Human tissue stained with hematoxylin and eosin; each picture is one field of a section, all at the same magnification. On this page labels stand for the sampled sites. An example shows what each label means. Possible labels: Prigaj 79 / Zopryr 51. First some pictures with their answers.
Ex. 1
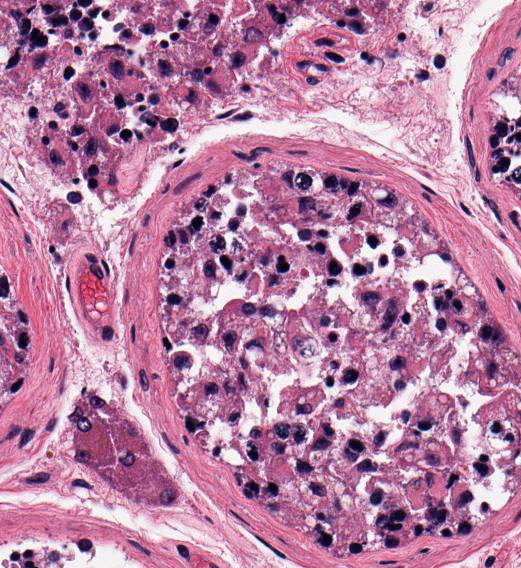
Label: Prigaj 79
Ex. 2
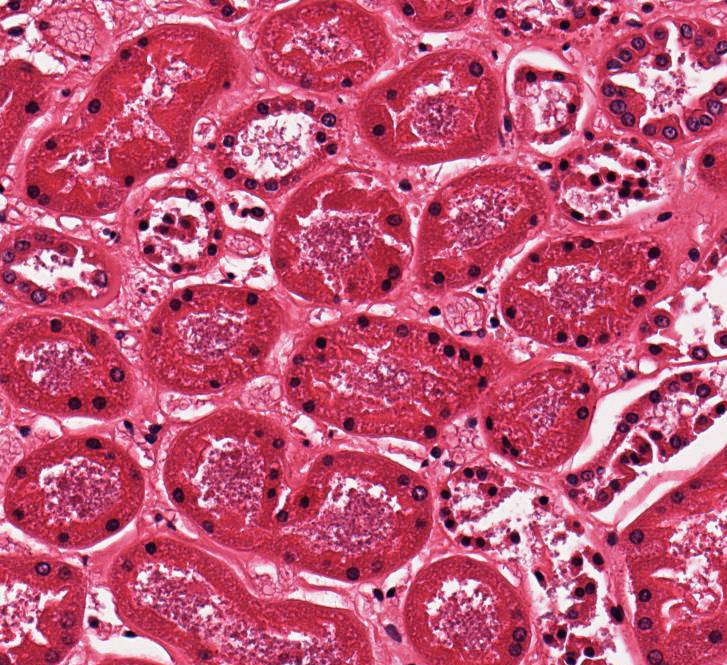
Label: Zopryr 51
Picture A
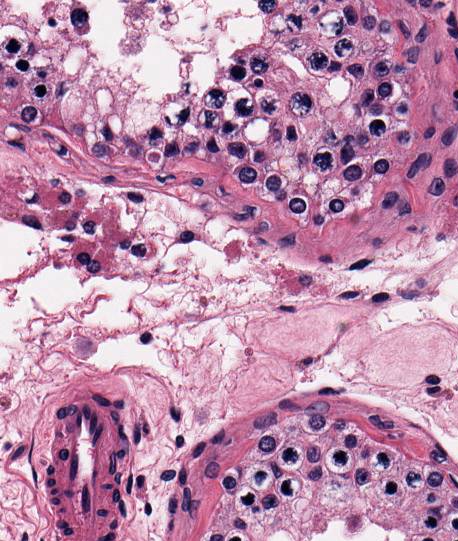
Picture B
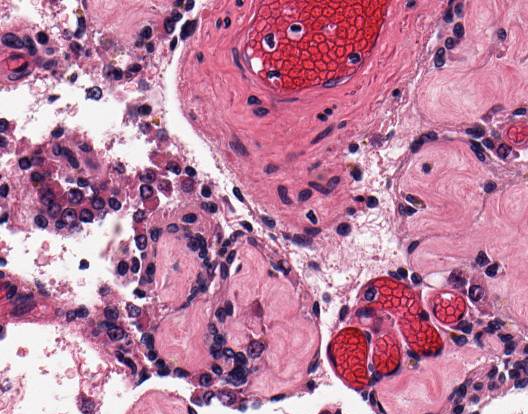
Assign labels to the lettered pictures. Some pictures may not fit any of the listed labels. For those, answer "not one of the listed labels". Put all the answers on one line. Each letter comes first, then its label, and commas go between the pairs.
A Prigaj 79, B Prigaj 79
